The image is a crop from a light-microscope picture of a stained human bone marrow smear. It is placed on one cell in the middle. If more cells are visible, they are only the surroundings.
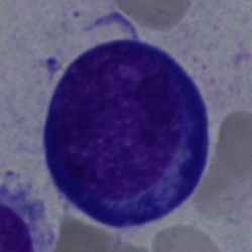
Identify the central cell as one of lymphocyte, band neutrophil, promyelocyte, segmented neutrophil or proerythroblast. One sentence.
Classified as a proerythroblast is the cell in the middle of this crop.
